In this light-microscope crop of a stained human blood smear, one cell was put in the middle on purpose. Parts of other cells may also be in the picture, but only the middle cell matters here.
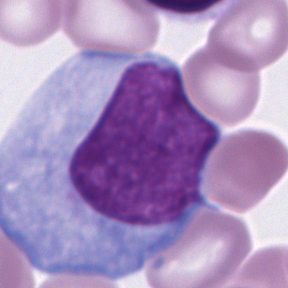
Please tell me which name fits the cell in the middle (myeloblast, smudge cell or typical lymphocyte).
myeloblast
